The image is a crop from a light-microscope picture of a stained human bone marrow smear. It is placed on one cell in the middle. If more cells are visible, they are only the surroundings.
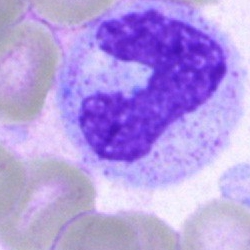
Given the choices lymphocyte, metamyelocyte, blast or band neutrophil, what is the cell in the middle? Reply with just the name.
band neutrophil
